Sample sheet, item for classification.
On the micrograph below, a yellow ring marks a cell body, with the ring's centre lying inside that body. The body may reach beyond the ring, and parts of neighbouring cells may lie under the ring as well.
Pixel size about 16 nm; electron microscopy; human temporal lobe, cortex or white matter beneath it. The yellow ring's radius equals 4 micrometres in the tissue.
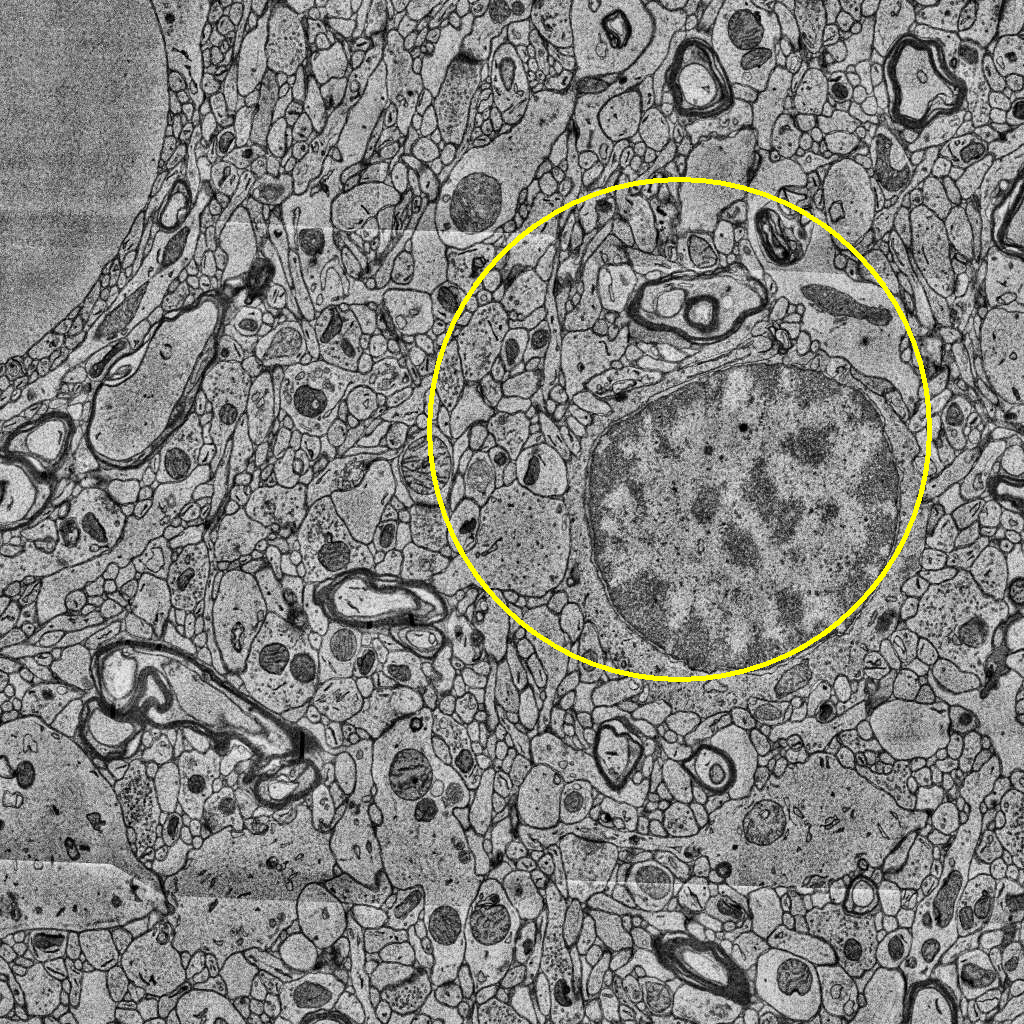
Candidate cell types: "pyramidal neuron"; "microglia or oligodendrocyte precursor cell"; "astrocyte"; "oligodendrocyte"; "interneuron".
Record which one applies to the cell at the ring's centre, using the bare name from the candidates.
oligodendrocyte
